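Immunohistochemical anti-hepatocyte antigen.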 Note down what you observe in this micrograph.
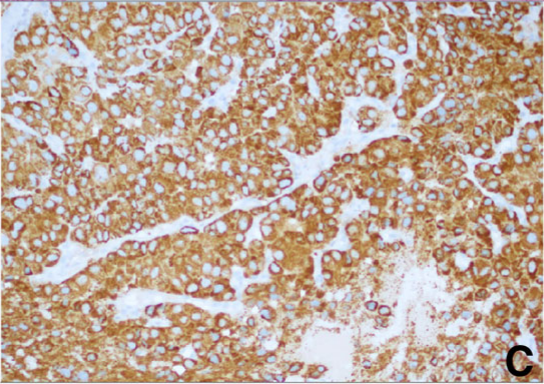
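This is a hepatocellular carcinoma made of crowded, polygonal tumour cells. Almost all of them have brown, finely granular cytoplasm. The cells are arranged in broad plates and trabeculae, separated by thin, pale, branching spaces. Each cell has a round, pale central nucleus, which stands out against the brown cytoplasm. No normal tissue is seen between the tumour plates.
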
